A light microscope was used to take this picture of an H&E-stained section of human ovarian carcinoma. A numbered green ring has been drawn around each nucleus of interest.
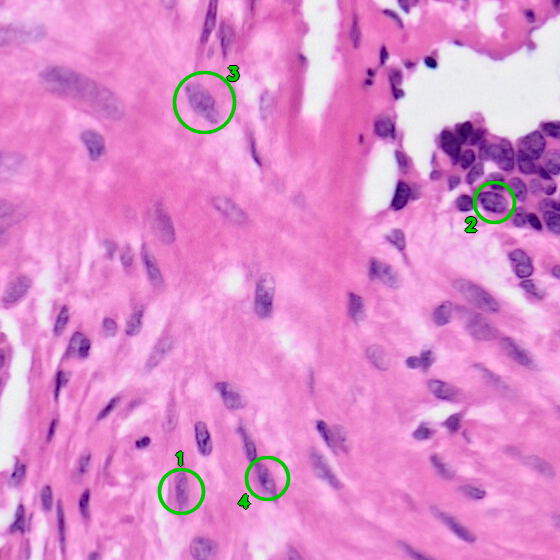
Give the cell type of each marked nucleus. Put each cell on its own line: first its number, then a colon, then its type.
1: fibroblast
2: carcinoma cell
3: fibroblast
4: fibroblast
